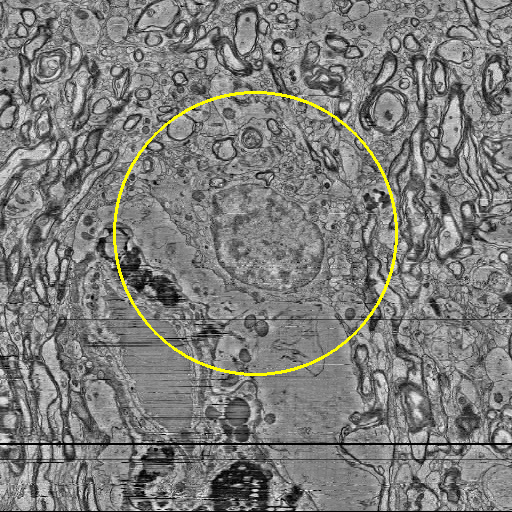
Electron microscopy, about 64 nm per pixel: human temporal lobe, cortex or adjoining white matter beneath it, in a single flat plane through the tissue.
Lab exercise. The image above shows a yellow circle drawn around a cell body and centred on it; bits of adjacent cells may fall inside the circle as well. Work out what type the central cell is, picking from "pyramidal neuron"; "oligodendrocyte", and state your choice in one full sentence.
In the image above, the cell at the centre of the yellow circle is an oligodendrocyte.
